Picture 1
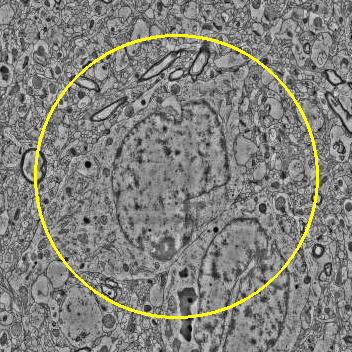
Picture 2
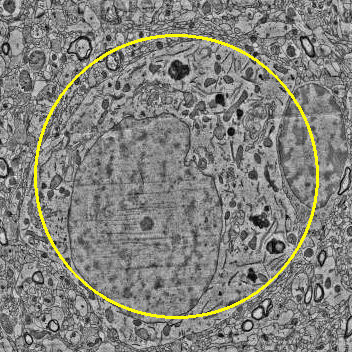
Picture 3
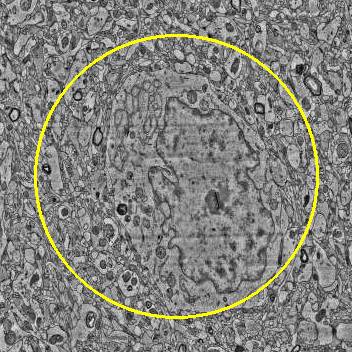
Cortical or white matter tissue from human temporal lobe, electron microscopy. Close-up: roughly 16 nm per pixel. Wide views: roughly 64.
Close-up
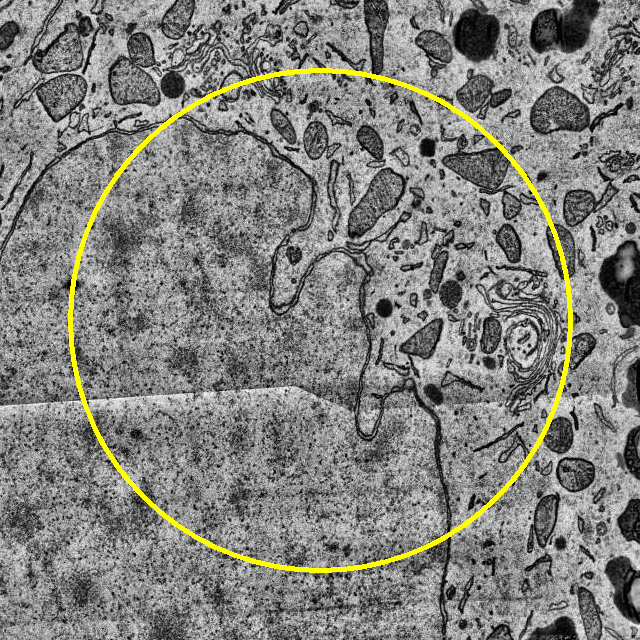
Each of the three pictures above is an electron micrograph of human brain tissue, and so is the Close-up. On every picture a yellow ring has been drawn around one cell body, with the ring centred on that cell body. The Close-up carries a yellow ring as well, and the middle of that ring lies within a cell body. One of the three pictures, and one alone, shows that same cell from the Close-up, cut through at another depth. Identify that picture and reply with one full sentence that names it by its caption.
The close-up matches the cell enclosed by the yellow ring in Picture 2.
